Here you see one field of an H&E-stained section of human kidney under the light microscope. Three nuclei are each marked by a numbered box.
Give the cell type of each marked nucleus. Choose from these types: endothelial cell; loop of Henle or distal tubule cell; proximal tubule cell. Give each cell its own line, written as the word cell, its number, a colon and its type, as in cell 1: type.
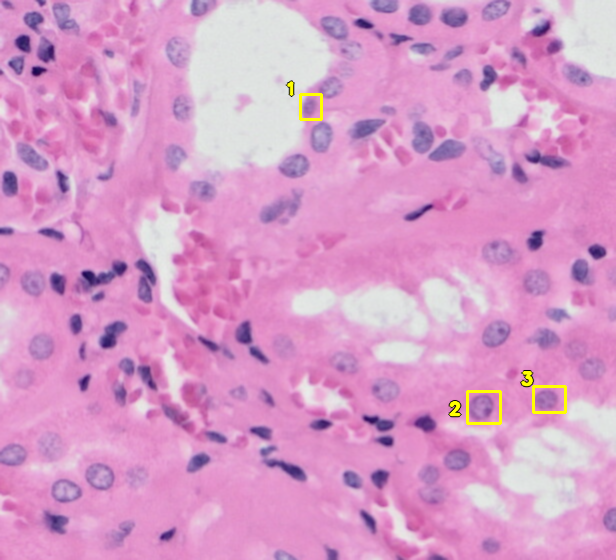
cell 1: loop of Henle or distal tubule cell
cell 2: proximal tubule cell
cell 3: proximal tubule cell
